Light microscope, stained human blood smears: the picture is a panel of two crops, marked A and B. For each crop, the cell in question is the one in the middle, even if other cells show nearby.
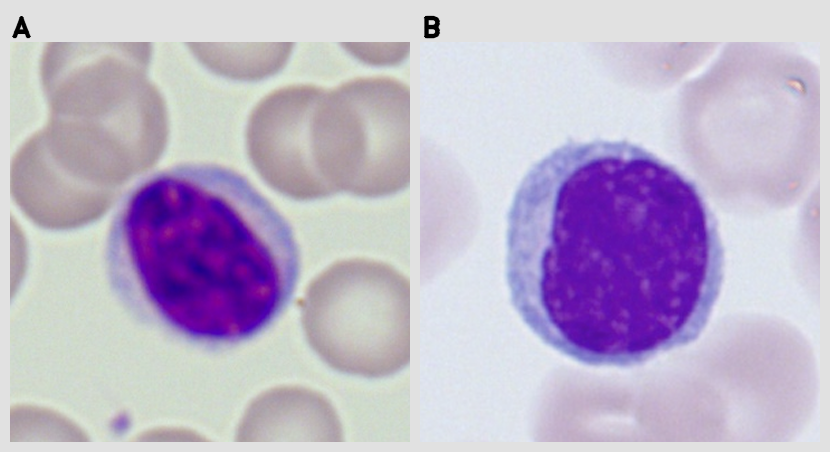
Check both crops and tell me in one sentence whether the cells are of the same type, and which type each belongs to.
Yes, both crops show a cell each, and these are lymphocytes.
